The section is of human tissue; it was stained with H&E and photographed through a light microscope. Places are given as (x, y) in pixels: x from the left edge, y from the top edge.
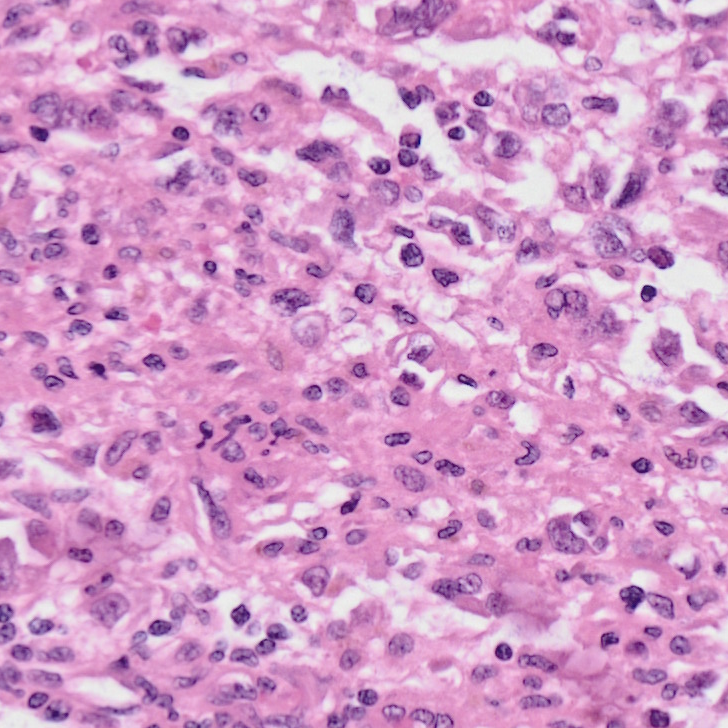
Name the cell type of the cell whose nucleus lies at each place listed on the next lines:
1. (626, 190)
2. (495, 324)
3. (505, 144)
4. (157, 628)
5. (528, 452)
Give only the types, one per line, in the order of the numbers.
melanoma cell
macrophage or monocyte
melanoma cell
lymphocyte
macrophage or monocyte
